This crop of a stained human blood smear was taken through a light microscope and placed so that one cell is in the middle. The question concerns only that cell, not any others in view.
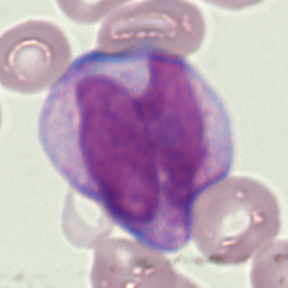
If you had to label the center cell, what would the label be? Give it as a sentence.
The central element of this crop is a cell, namely an atypical promyelocyte.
